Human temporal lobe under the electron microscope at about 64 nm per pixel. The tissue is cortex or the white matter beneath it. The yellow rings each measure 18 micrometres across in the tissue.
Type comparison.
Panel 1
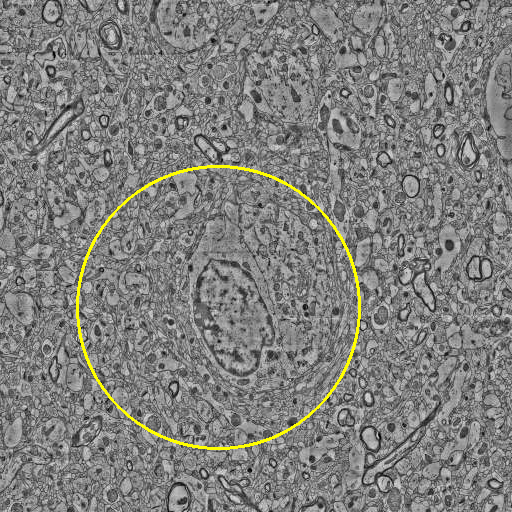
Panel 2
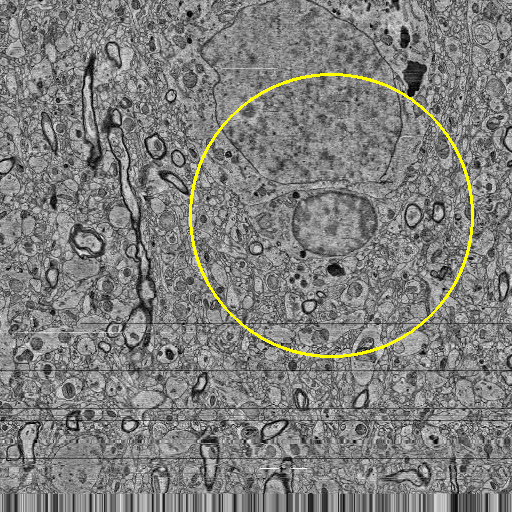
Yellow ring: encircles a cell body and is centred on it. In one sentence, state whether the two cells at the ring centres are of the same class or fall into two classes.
In these panels, the two cells at the ring centres fall into two classes.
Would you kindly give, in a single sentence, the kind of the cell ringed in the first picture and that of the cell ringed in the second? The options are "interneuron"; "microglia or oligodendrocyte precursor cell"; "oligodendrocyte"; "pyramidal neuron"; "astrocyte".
The second cell is an oligodendrocyte, and the first cell is a microglial cell or oligodendrocyte precursor cell.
